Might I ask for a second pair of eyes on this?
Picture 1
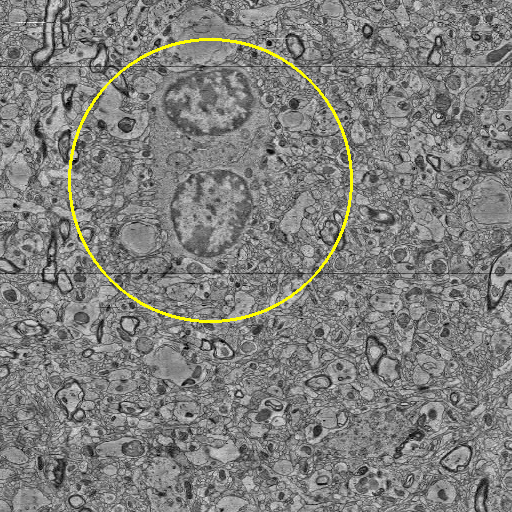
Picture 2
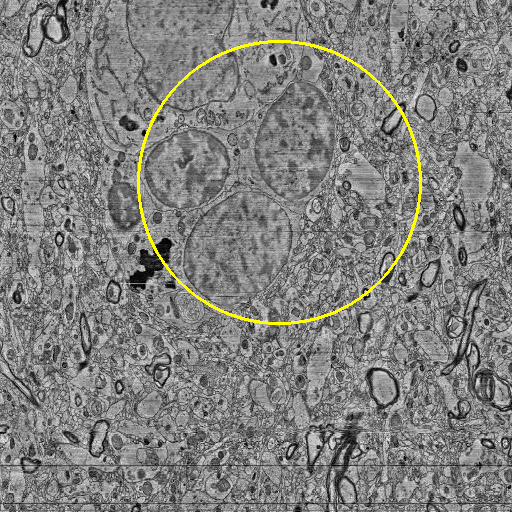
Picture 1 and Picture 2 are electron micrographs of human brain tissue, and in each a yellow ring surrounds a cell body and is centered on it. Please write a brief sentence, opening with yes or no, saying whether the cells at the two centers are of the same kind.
Yes, the cells are of the same kind.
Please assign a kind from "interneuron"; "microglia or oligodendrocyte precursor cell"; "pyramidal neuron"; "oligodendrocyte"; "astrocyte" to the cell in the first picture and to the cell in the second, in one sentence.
In each picture the ringed cell is an oligodendrocyte.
